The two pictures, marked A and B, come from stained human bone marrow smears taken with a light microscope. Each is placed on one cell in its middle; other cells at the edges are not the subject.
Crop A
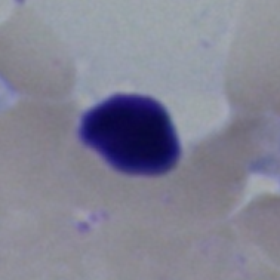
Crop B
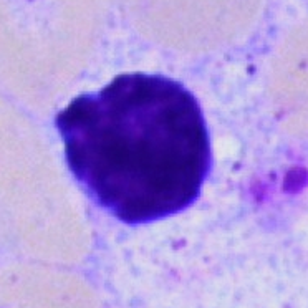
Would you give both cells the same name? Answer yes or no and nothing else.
no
